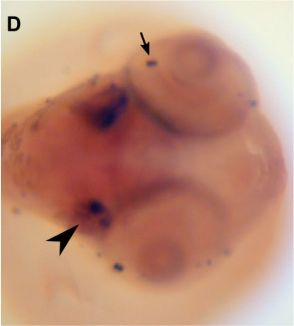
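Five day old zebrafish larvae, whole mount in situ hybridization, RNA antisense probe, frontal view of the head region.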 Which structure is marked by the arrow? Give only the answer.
Neuromasts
